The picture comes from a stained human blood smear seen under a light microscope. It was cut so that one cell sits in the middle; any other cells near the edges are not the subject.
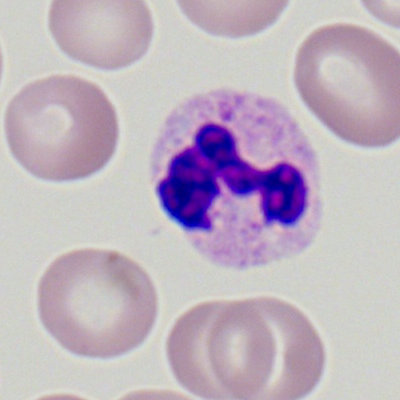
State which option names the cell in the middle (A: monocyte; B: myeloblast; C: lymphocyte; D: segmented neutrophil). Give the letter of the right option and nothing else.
D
